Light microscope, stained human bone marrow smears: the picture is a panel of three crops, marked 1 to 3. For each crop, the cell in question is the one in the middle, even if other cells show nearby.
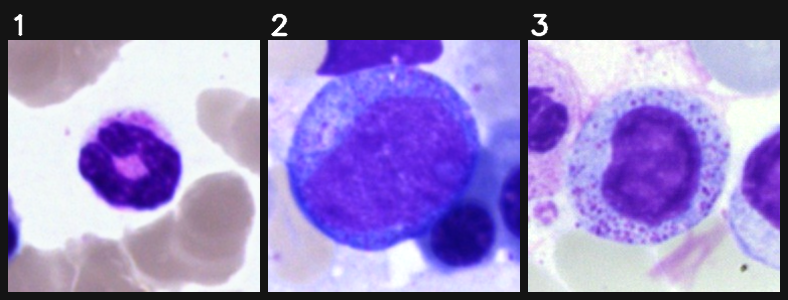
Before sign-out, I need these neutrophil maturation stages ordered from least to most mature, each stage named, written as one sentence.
In order from least mature to most mature, the crops stand crop 2 (a promyelocyte), crop 3 (a myelocyte) and crop 1 (a segmented neutrophil).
